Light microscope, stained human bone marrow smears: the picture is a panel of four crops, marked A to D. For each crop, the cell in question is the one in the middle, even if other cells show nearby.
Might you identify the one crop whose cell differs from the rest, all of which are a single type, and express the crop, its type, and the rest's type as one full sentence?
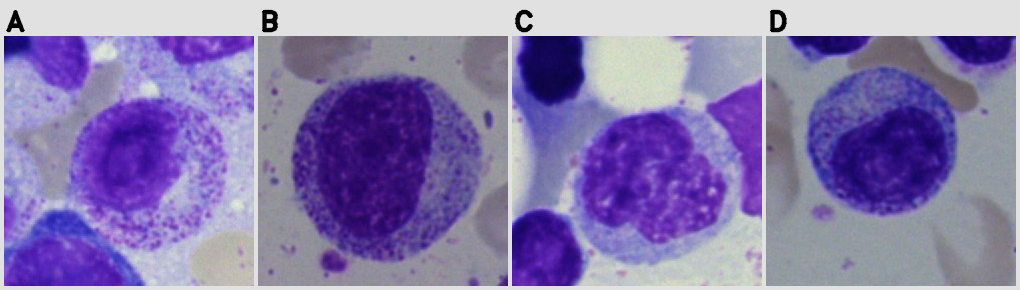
Crop C differs, its cell being a monocyte, whereas the other crops show myelocytes.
